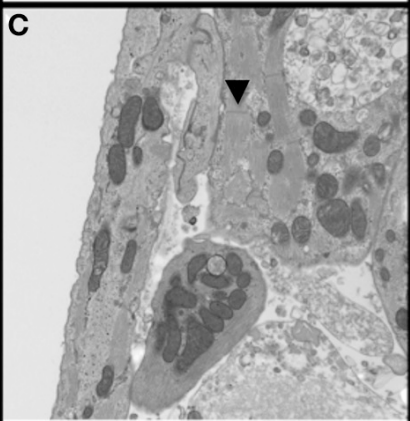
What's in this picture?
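At lower left a rounded cell profile holds a tight cluster of dark mitochondria. Near the top middle a region of regularly banded, striated cytoplasm is visible. Between the cells lie pale, vacuolated areas and granular material resembling debris, especially toward the right and bottom. No distinct thin flattened lining layer is evident along the left edge.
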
